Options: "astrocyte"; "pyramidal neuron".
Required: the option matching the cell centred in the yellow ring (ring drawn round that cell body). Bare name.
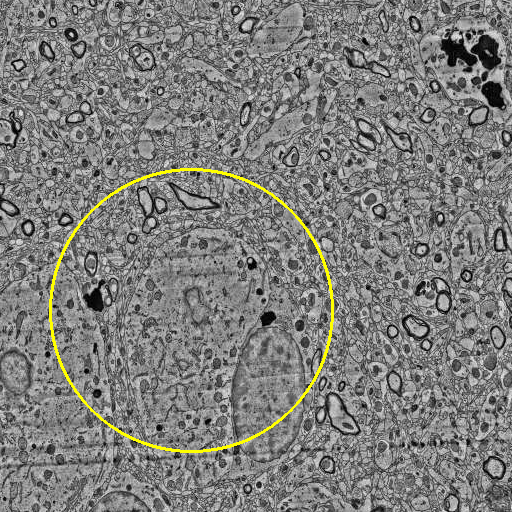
pyramidal neuron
